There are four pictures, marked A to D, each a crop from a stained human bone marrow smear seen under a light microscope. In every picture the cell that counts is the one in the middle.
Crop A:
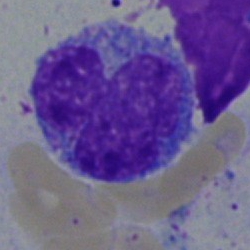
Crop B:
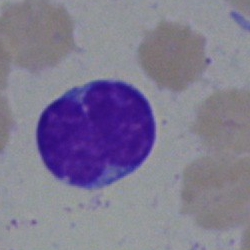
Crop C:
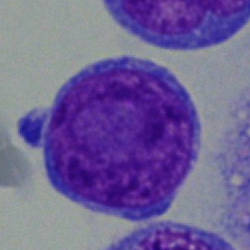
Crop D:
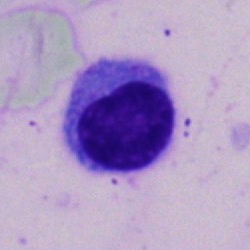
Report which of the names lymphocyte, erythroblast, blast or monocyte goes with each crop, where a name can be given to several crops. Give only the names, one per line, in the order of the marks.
monocyte
lymphocyte
blast
lymphocyte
